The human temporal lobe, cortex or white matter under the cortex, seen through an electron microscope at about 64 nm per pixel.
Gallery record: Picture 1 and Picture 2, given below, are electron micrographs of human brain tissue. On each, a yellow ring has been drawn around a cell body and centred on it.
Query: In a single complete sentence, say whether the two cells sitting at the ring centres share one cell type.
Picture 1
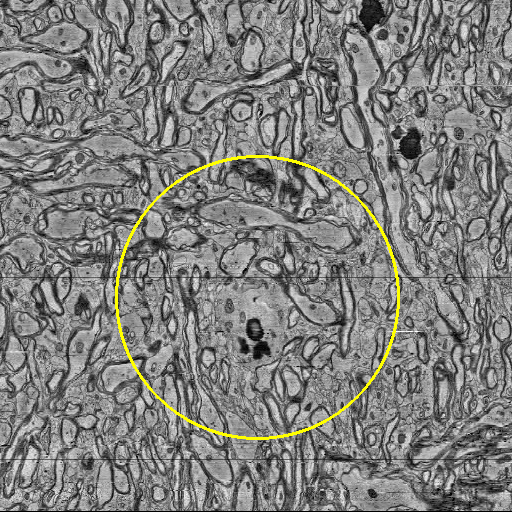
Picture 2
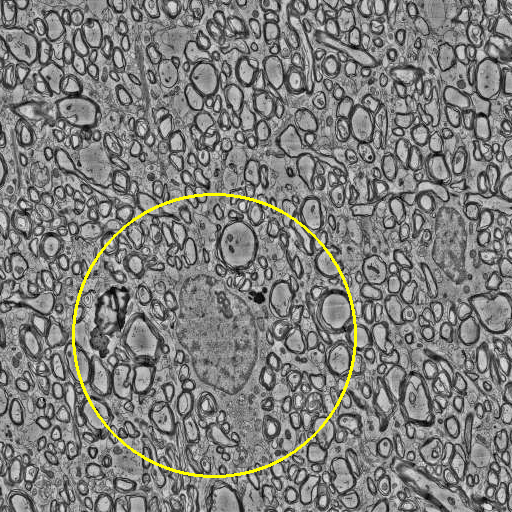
Yes, in both pictures the cell at the ring's centre is of one and the same type.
